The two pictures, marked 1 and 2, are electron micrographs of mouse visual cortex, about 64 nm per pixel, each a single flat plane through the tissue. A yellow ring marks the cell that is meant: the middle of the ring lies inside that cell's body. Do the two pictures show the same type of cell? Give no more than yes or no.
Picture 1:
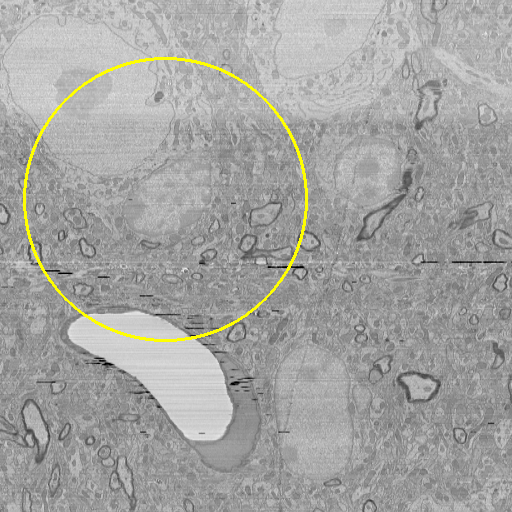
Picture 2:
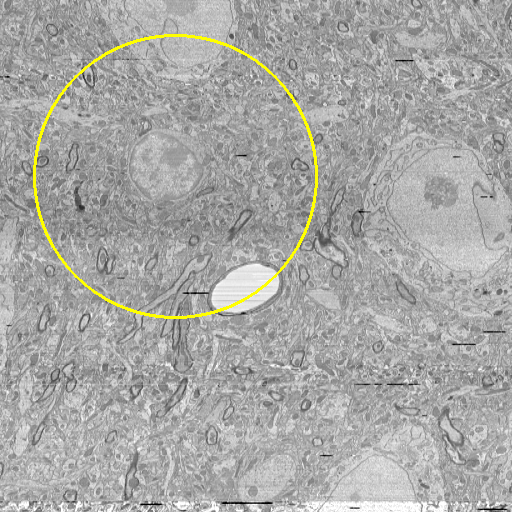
yes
